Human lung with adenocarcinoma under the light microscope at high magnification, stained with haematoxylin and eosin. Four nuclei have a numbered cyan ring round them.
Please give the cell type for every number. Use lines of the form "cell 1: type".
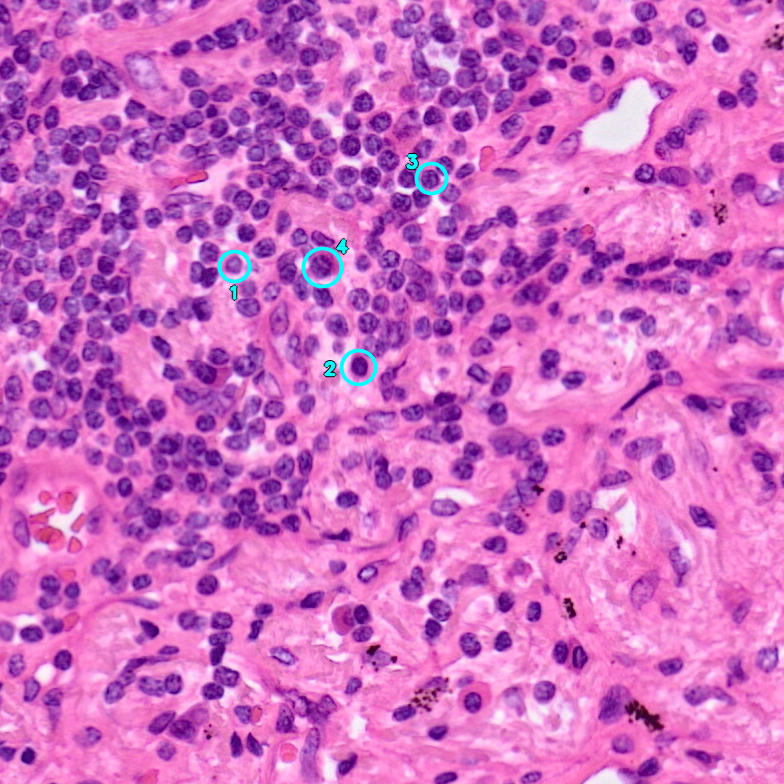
cell 1: lymphocyte
cell 2: lymphocyte
cell 3: lymphocyte
cell 4: plasma cell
